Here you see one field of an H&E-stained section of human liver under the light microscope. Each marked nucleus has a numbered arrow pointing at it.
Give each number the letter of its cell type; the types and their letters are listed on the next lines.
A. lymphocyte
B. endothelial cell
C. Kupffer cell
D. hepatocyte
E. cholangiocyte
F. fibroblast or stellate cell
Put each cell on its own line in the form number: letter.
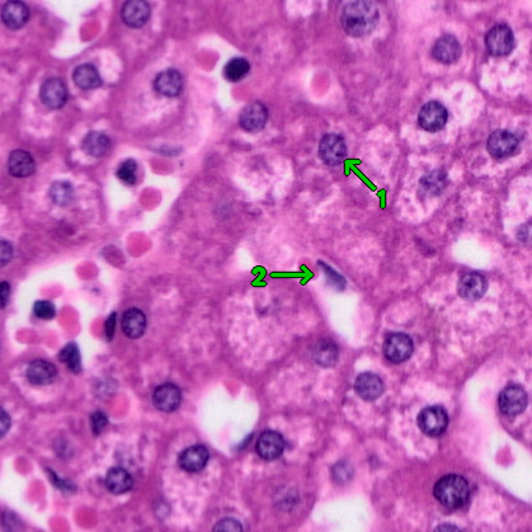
1: D
2: B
